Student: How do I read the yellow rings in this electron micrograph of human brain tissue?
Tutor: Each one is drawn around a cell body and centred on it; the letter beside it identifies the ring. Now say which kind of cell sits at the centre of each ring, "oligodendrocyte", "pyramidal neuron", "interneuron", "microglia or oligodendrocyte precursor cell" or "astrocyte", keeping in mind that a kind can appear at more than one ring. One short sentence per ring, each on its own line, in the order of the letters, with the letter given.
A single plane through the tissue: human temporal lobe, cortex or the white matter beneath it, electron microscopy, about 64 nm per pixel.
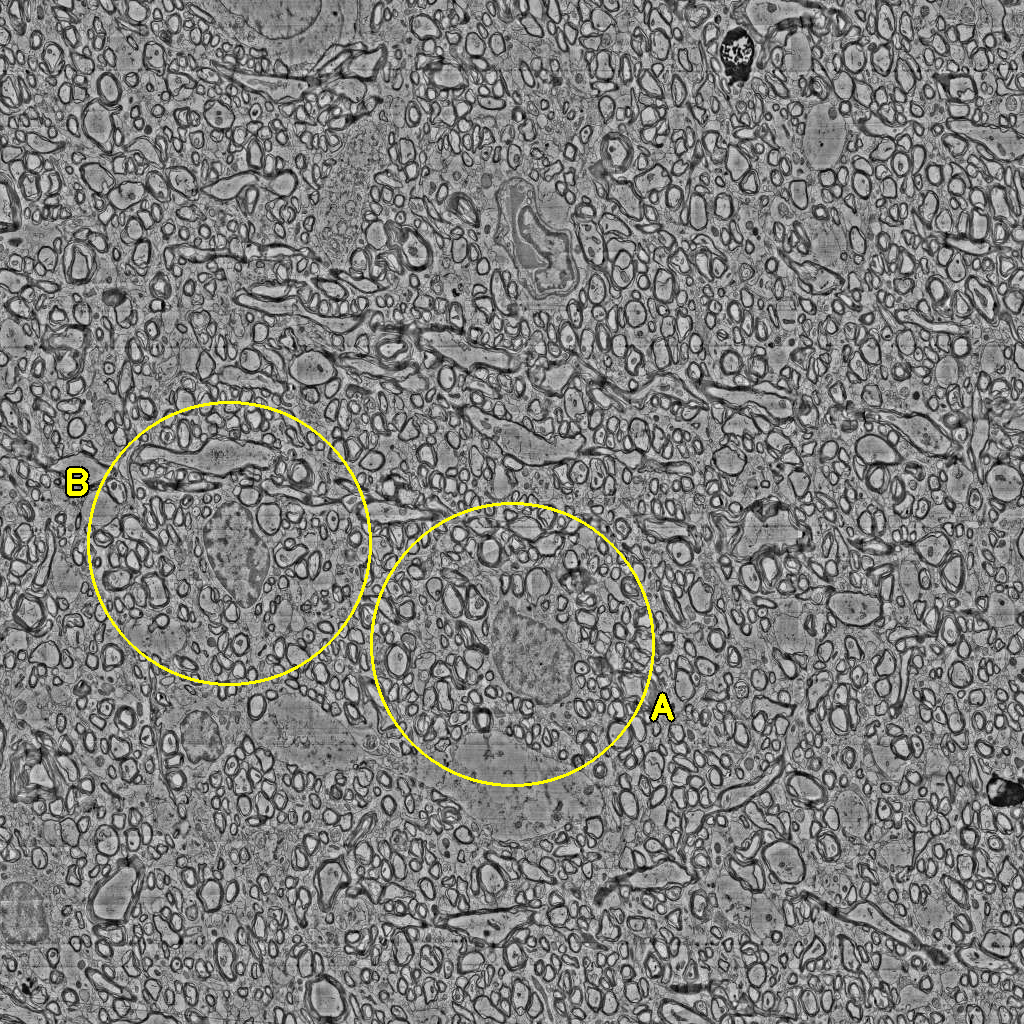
In the centre of ring A is an oligodendrocyte.
In the centre of ring B is a microglial cell or oligodendrocyte precursor cell.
